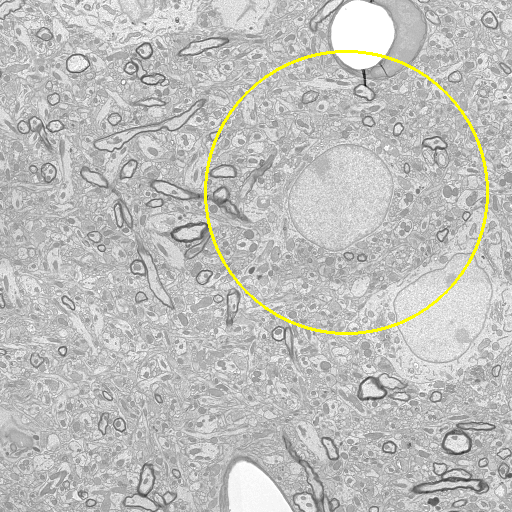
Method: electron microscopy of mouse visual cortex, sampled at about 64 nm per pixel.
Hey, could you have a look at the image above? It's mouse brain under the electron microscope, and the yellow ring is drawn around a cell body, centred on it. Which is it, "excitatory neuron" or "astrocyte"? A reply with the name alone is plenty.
astrocyte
